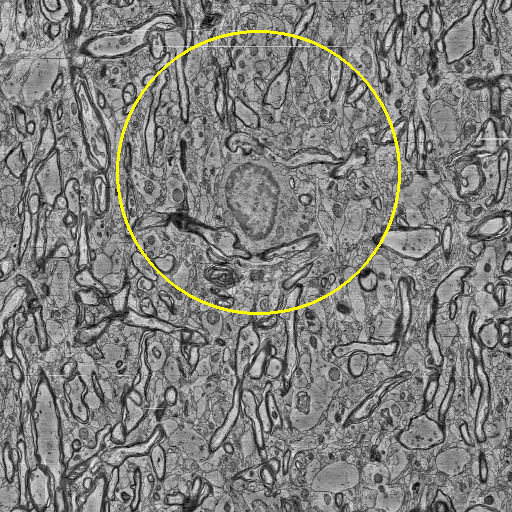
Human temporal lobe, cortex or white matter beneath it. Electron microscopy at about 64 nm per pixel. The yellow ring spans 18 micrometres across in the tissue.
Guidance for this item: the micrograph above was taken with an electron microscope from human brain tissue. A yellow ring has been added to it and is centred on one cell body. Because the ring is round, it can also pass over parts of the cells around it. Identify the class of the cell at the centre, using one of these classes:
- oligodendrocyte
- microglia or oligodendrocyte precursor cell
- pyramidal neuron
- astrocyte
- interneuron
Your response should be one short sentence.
The ring surrounds the body of an oligodendrocyte.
